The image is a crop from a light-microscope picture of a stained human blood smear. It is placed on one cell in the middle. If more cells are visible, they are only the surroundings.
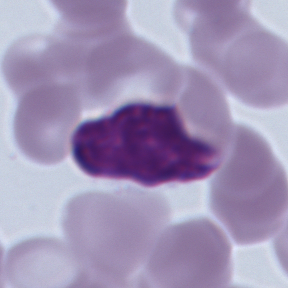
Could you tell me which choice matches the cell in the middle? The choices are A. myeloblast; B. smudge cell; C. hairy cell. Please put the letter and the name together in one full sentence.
The cell placed in the middle is a smudge cell; option B is correct.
